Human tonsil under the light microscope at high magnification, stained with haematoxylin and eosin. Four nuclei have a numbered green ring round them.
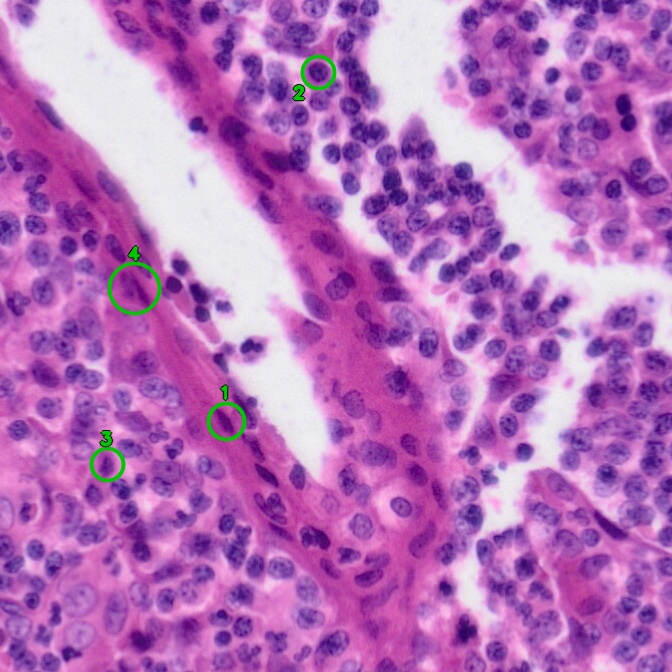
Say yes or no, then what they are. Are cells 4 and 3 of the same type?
Yes, going by number, cells 4 and 3 are both squamous epithelial cells.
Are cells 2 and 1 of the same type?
No, cell 2 is a plasma cell; cell 1 is a squamous epithelial cell.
